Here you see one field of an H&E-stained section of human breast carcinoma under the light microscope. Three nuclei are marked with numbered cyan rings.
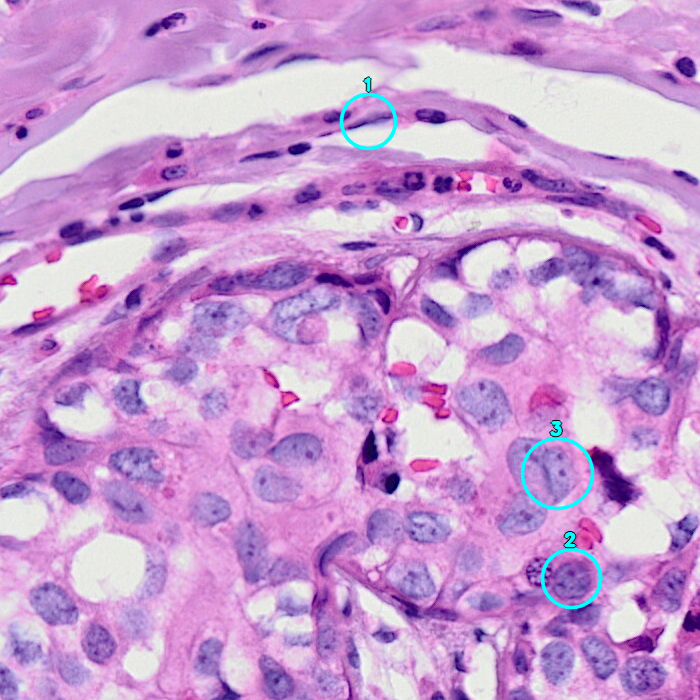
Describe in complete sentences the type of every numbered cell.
Cell 1 is a fibroblast. Cells 2 and 3 are carcinoma cells.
